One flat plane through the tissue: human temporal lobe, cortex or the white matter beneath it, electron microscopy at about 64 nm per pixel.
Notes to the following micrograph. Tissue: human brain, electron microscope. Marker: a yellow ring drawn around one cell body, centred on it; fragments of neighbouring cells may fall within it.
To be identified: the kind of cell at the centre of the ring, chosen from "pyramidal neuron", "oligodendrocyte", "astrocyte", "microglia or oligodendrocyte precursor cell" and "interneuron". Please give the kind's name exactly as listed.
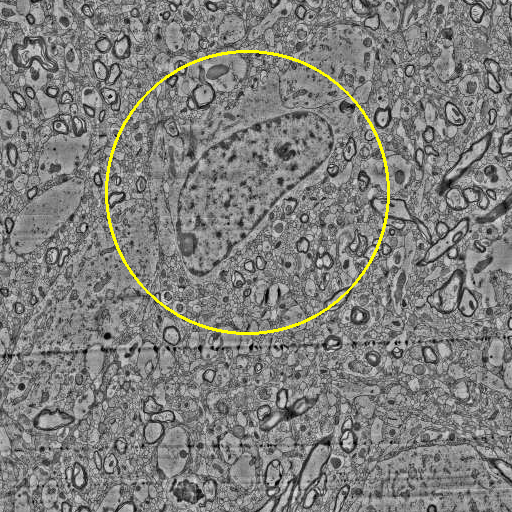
microglia or oligodendrocyte precursor cell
